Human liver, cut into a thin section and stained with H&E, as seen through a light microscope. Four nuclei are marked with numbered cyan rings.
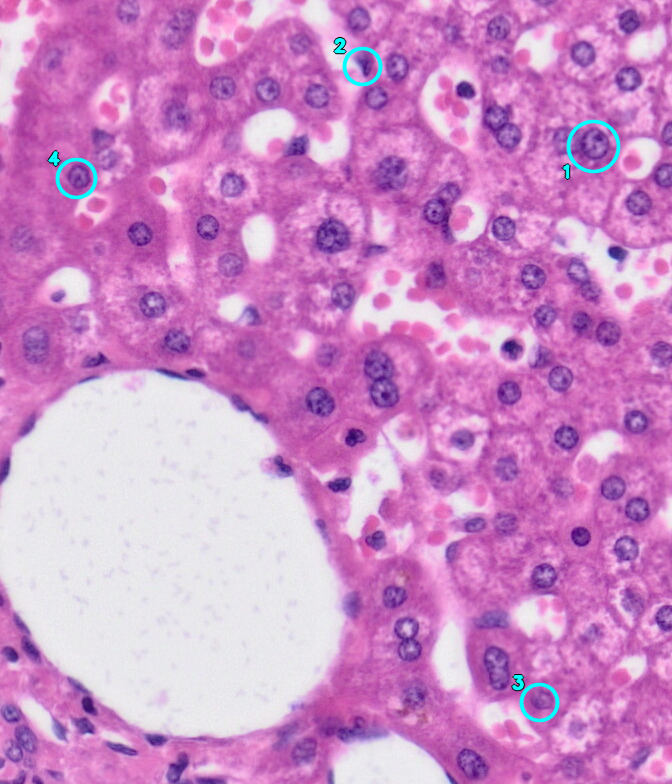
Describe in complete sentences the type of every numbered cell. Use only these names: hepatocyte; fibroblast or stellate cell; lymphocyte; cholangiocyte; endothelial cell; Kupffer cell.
Cells 1, 3 and 4 are hepatocytes. Cell 2 is an endothelial cell.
